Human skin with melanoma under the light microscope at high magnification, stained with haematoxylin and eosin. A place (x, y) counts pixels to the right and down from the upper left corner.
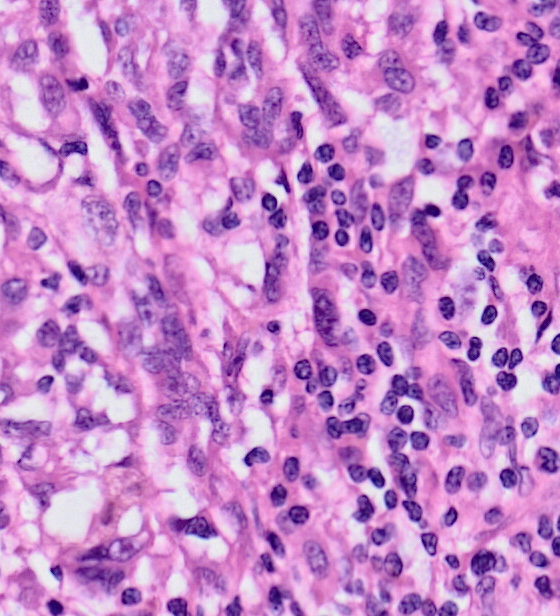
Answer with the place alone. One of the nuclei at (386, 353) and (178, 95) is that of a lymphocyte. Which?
(386, 353)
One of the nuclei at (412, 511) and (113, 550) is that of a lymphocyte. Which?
(412, 511)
